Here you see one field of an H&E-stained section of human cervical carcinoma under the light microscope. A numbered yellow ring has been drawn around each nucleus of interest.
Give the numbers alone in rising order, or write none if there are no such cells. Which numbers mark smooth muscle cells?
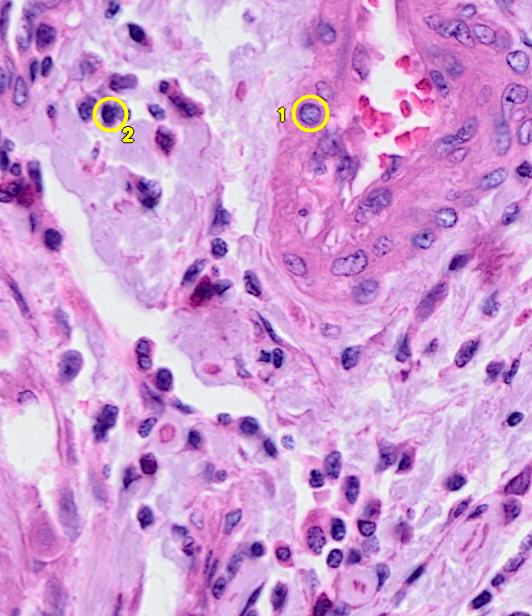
1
